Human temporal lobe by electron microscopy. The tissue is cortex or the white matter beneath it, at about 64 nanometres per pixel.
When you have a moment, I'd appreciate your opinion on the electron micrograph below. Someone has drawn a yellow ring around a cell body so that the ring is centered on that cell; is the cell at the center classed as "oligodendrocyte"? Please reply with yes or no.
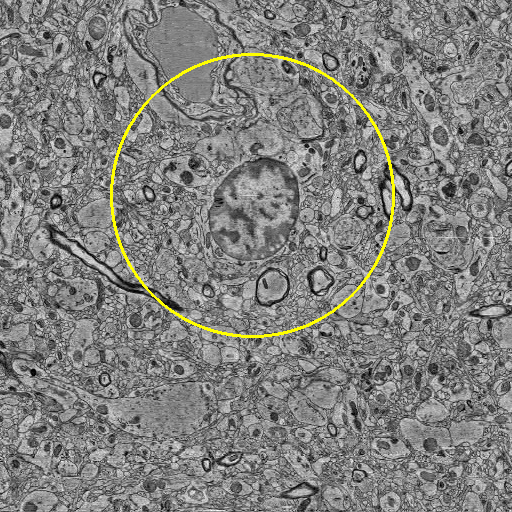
No, that cell belongs to another kind.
